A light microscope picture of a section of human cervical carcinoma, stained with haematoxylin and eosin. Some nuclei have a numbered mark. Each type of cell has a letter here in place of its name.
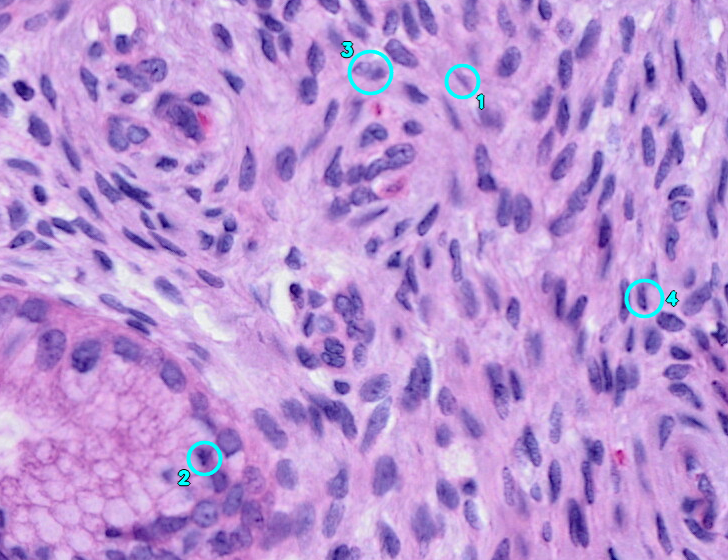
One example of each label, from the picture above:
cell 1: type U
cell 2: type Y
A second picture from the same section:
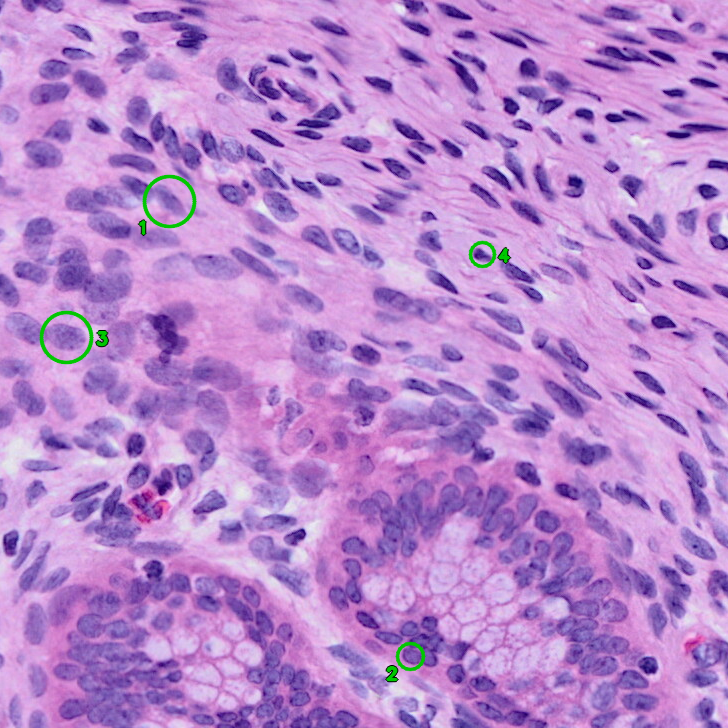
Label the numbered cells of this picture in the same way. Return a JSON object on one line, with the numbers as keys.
{"1": "type U", "2": "type Y", "3": "type U", "4": "type U"}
